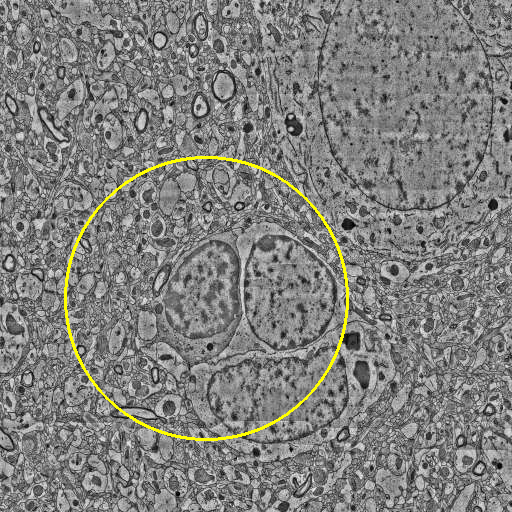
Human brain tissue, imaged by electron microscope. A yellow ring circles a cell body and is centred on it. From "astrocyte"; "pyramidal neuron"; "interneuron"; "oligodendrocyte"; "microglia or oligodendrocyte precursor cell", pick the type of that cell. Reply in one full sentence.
The cell body at the centre of the yellow ring belongs to an oligodendrocyte.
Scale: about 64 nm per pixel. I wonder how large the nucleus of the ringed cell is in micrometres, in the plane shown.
Roughly 6 by 5 micrometres in this plane, for the nucleus of the ringed cell.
